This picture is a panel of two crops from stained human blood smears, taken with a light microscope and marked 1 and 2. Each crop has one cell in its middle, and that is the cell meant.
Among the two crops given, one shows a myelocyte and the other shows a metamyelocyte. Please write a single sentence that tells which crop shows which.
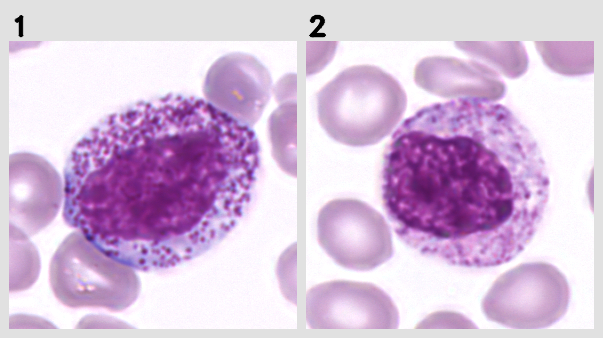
The correct labels are a myelocyte for crop 1 and a metamyelocyte for crop 2.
